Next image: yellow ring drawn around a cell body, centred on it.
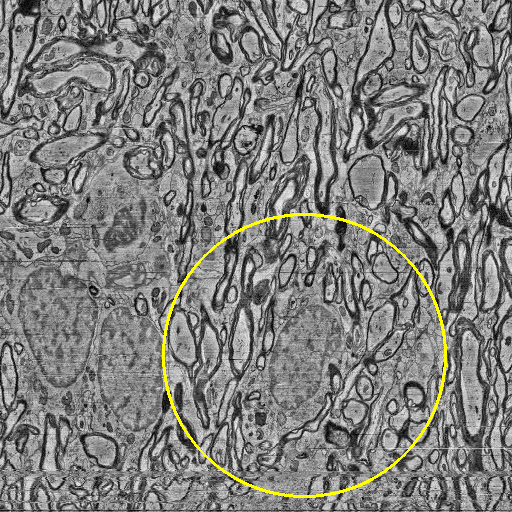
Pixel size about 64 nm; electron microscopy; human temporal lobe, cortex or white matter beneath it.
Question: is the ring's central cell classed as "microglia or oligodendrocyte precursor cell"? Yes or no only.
no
